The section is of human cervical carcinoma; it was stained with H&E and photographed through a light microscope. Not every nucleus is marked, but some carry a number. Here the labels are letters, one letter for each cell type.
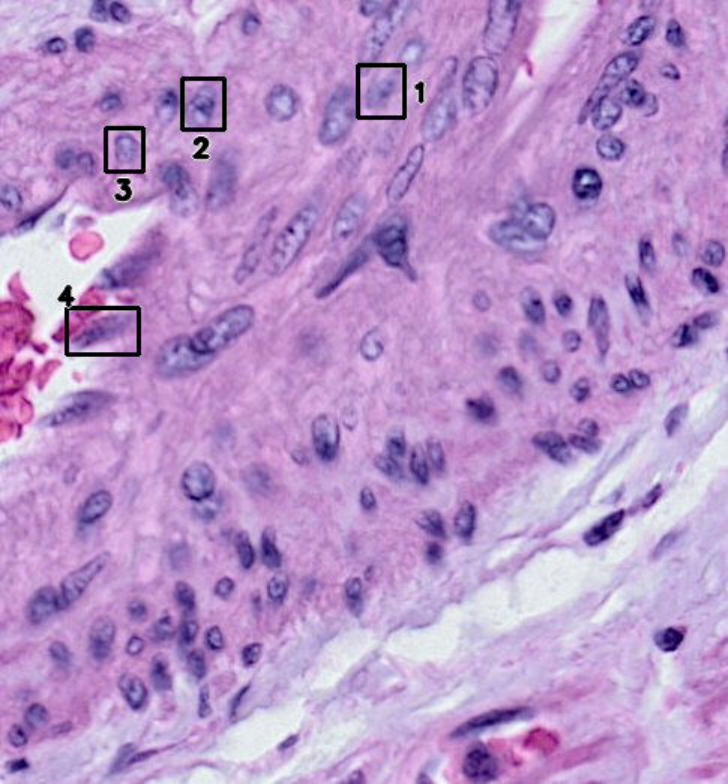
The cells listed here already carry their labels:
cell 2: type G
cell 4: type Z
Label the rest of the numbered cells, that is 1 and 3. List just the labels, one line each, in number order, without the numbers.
type G
type G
